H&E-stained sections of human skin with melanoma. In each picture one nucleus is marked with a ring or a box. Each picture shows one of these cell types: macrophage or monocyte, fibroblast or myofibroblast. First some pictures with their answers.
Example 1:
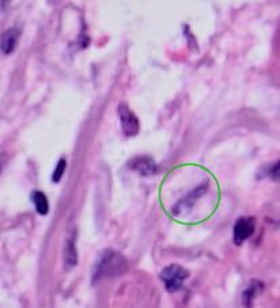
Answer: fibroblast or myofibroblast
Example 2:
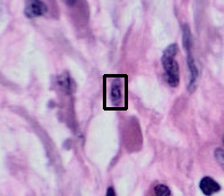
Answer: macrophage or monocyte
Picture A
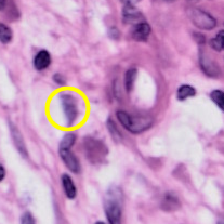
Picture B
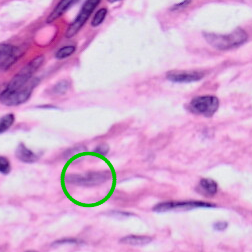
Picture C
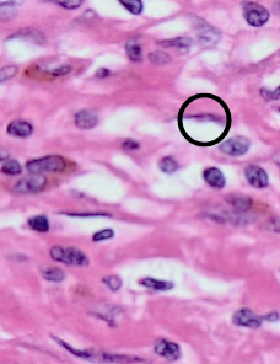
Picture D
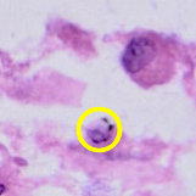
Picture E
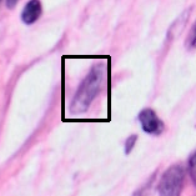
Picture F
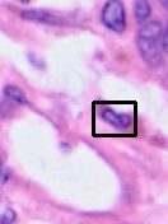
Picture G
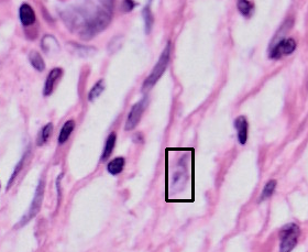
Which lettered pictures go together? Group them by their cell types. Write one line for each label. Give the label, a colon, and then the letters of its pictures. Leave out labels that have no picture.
macrophage or monocyte: D, F
fibroblast or myofibroblast: A, B, C, E, G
